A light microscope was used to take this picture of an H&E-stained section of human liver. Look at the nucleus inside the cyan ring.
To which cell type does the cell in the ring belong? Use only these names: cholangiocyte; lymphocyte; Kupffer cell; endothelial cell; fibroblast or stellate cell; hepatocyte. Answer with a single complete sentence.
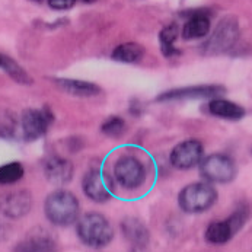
Within the stained tissue, the cell in the ring is a cholangiocyte.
